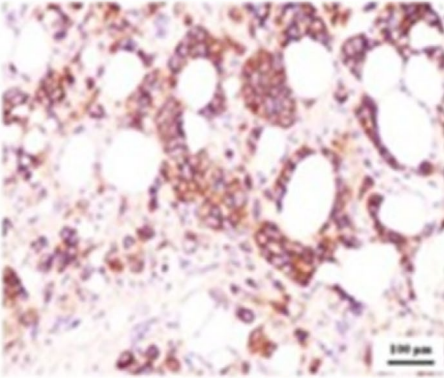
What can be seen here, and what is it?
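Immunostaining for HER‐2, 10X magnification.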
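This field shows nests and cords of tumour cells lying among many round, empty spaces left by fat cells. The tumour cells are packed in clusters, and their outlines are ringed by a strong brown stain, so each cluster looks like a brown honeycomb. Pale blue nuclei sit inside the brown rims, and the tissue between the clusters is paler with scattered small nuclei.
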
